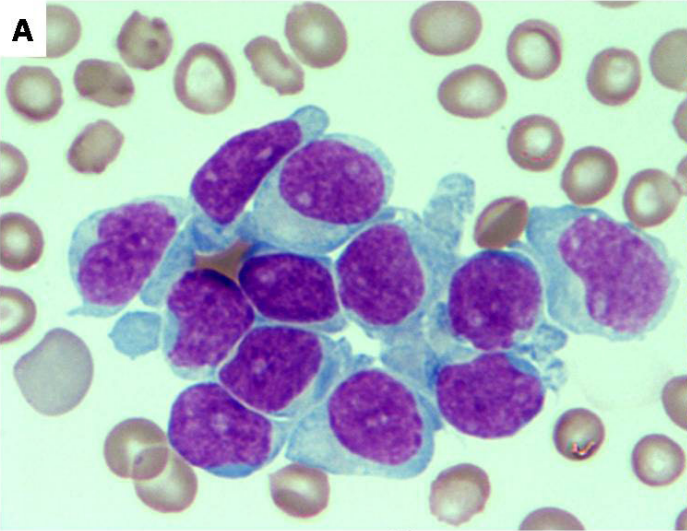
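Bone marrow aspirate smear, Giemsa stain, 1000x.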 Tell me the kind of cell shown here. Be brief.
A: Blastoid cells.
